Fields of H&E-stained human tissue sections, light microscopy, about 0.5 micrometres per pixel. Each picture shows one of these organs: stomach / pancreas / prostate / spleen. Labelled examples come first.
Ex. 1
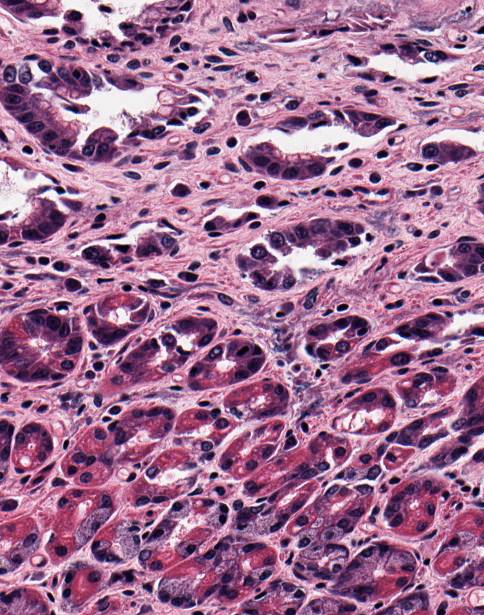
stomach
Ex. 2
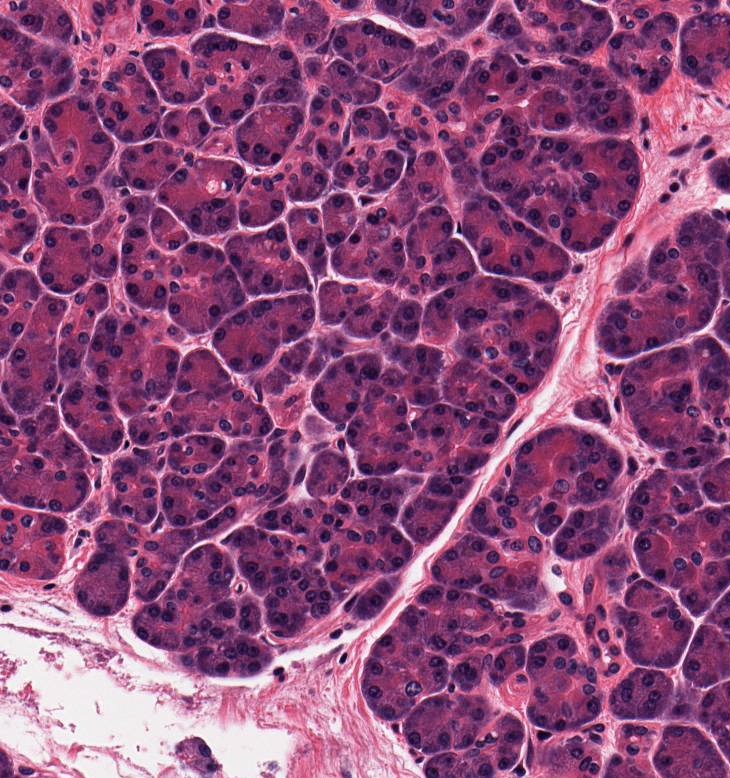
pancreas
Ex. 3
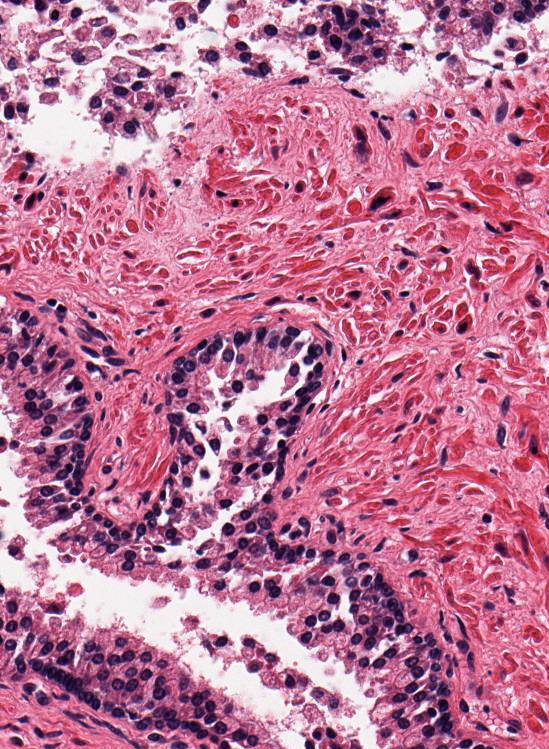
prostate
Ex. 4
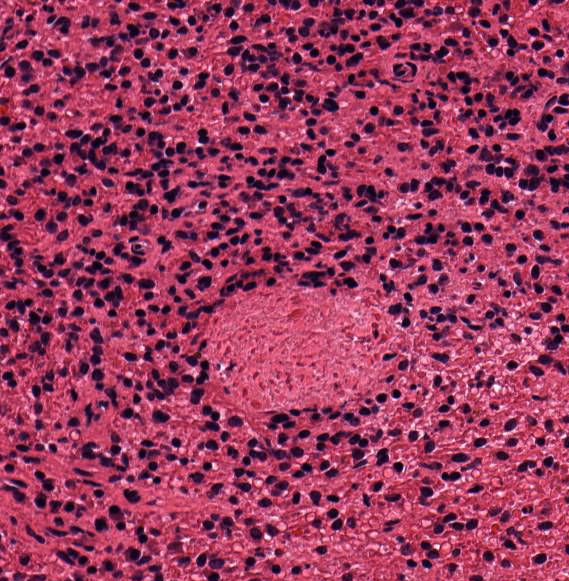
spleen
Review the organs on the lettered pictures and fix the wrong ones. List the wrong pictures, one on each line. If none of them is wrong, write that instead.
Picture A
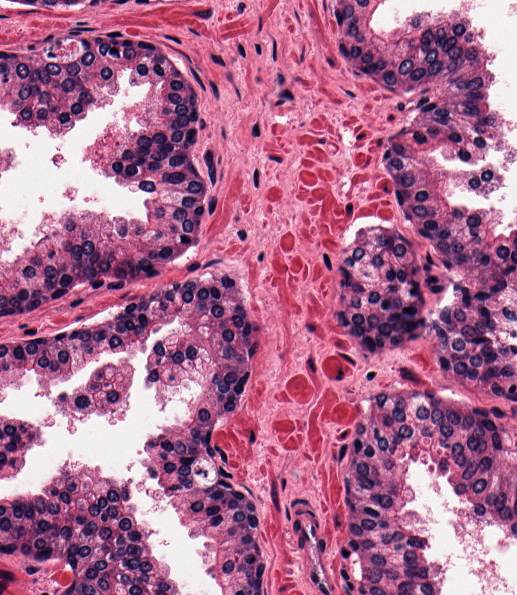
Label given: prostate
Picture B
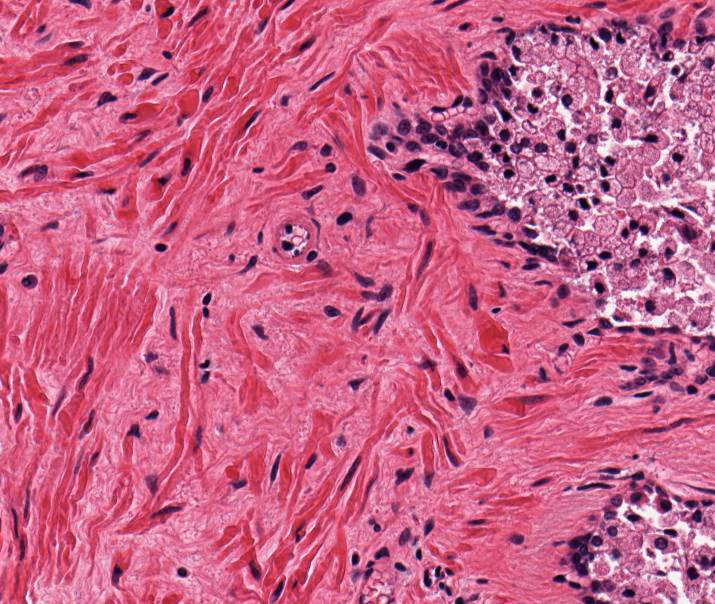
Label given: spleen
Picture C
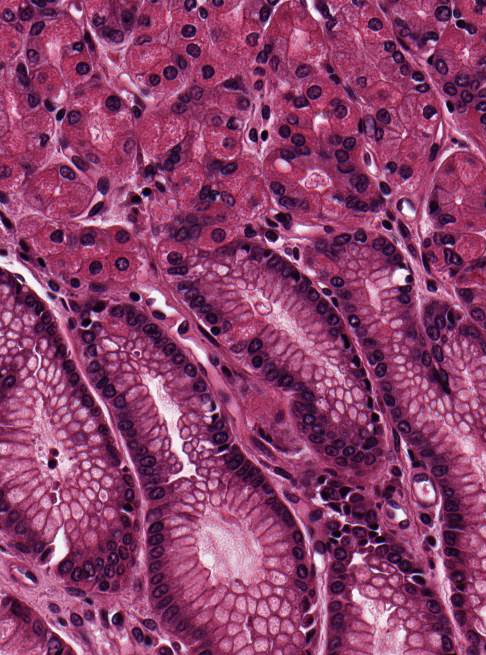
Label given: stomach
B should be prostate, not spleen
